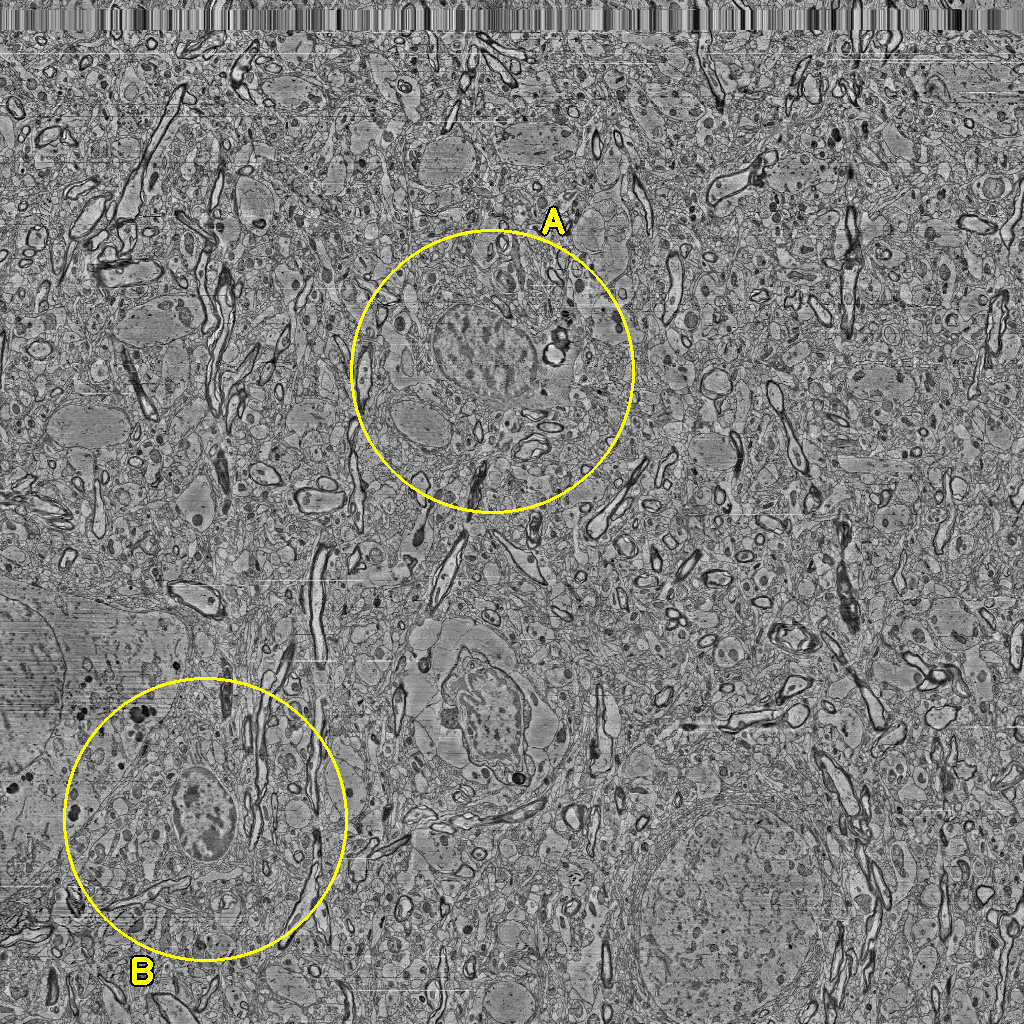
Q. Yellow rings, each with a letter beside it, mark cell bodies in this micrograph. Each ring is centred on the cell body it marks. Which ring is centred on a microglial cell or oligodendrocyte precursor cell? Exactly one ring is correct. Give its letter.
B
